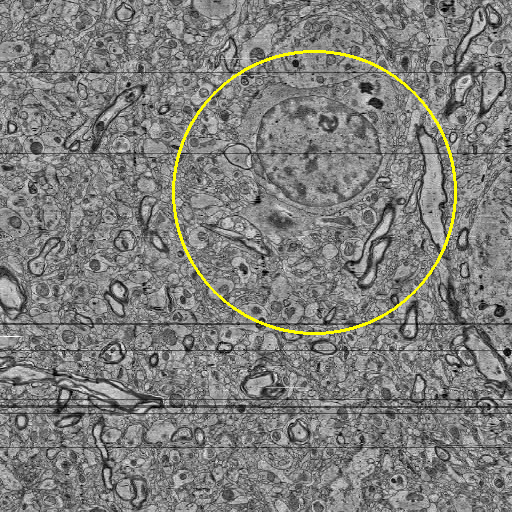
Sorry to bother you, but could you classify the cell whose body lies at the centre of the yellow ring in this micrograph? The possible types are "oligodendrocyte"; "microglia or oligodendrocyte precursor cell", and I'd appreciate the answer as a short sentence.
The ringed cell body is that of an oligodendrocyte.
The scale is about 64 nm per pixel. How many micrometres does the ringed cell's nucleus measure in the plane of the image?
About 8 by 7 micrometers, in this plane.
